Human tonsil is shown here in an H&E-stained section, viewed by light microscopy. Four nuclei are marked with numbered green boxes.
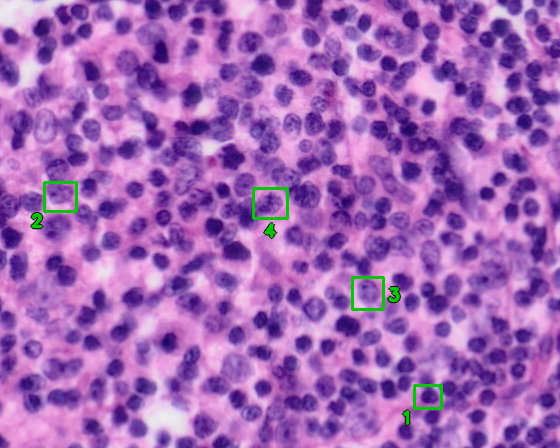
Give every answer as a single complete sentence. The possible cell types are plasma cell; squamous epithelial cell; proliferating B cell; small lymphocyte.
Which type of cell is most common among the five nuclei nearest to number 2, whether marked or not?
Proliferating B cells account for more than half of the five nuclei nearest to number 2.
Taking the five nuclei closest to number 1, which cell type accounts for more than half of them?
Around number 1, most of the five nearest nuclei are those of small lymphocytes.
